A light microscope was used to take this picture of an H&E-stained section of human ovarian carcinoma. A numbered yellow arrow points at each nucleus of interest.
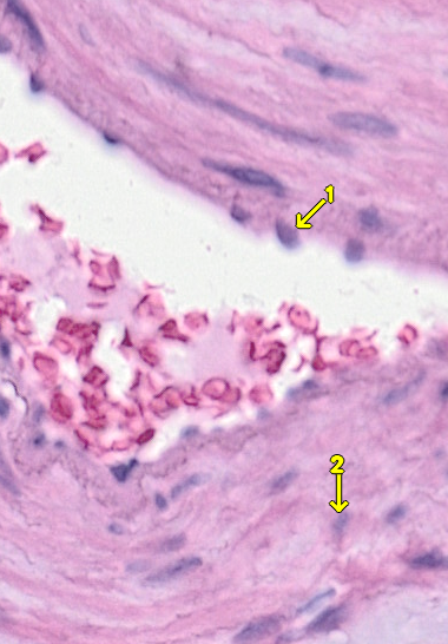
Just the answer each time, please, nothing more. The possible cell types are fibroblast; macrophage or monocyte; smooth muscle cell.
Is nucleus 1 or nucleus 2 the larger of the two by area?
1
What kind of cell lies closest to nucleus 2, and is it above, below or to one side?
a smooth muscle cell; to the right of nucleus 2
